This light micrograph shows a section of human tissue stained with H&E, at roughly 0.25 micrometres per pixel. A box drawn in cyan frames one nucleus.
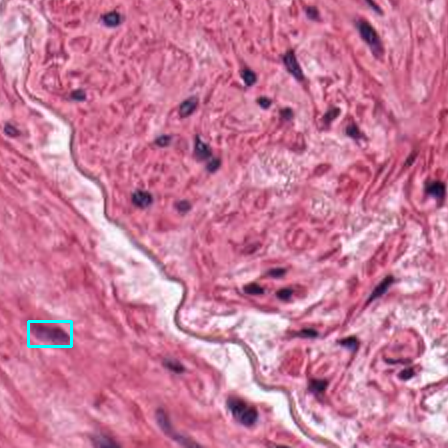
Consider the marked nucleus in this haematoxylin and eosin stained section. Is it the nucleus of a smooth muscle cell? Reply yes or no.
yes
